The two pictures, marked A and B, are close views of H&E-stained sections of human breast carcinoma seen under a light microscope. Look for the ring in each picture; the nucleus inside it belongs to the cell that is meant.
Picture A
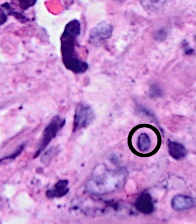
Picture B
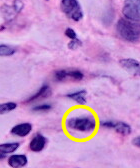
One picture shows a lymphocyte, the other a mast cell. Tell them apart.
A: mast cell
B: lymphocyte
